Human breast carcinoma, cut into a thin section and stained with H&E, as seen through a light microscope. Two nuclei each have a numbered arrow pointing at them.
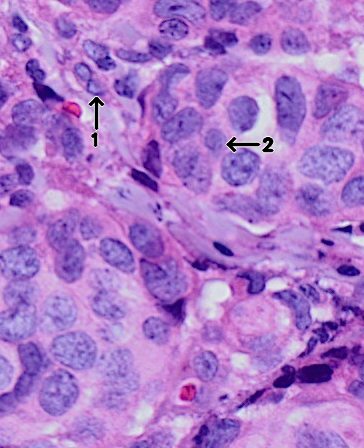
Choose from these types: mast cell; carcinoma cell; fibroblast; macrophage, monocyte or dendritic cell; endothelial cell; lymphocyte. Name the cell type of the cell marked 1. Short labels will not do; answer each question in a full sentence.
It is as an endothelial cell that the cell numbered 1 is identified.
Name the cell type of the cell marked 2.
The label 2 in this section denotes a carcinoma cell.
